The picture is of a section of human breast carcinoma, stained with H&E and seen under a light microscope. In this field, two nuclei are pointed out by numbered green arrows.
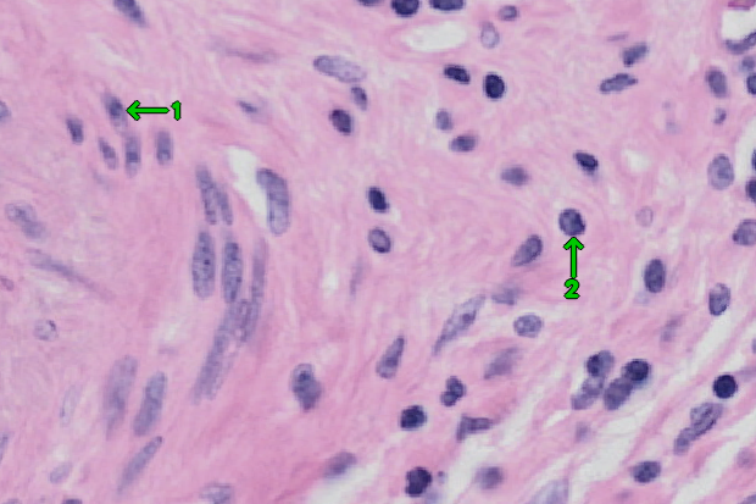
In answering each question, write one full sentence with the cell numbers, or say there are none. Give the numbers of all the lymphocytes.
Only nucleus 2 belongs to a lymphocyte; the other numbered nuclei do not.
